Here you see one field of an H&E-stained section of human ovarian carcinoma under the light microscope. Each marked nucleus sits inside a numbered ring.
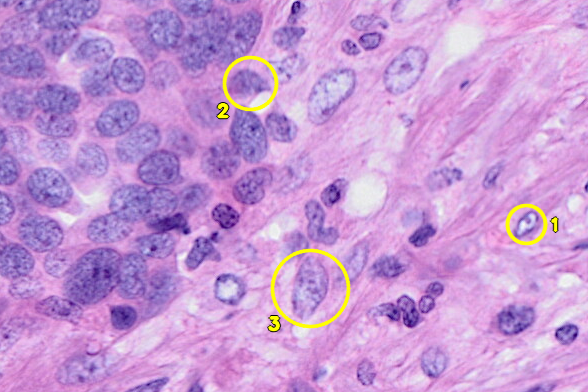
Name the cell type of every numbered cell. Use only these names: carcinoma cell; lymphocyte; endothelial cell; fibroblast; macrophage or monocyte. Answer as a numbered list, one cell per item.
1. fibroblast
2. carcinoma cell
3. fibroblast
